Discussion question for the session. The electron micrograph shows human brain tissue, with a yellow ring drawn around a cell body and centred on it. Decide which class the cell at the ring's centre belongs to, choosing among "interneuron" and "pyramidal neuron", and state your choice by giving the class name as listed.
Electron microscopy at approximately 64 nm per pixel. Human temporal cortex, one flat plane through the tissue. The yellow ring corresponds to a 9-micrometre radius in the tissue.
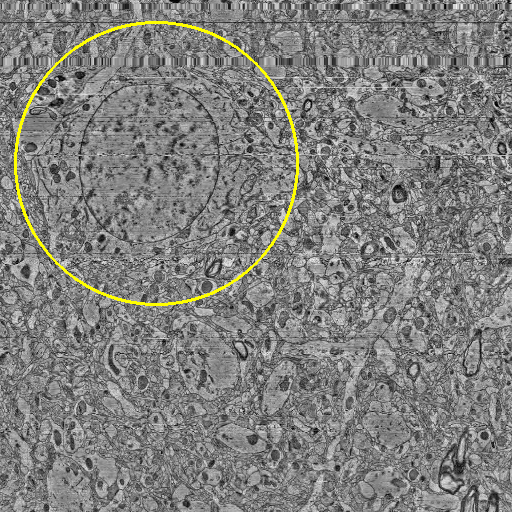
pyramidal neuron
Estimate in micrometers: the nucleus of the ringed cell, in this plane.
About 11 micrometres by about 9 micrometres in this plane.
